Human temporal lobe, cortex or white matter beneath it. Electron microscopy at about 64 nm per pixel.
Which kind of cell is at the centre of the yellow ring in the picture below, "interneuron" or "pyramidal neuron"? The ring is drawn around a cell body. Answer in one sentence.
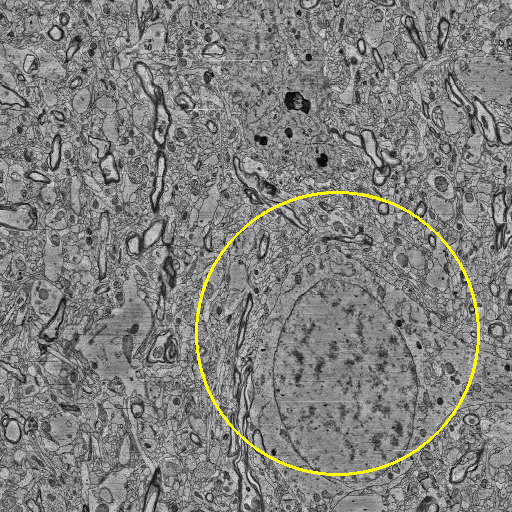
The ring's central cell is a pyramidal neuron.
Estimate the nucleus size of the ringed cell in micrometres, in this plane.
In this plane the nucleus spans approximately 14 by 9 micrometers.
